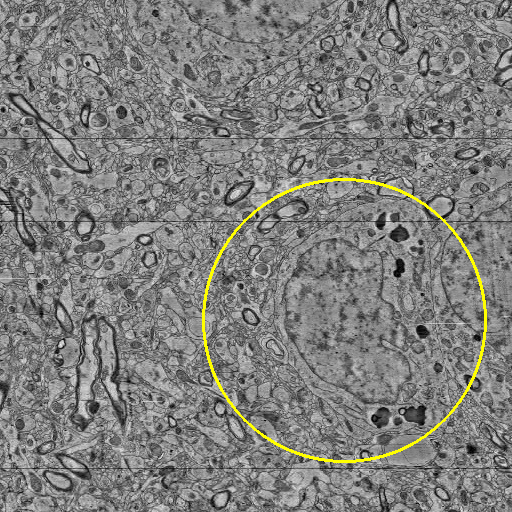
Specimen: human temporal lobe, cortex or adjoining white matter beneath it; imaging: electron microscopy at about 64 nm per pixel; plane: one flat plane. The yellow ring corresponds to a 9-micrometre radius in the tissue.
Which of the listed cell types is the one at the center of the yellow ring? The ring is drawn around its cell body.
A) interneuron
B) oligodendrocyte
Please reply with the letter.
A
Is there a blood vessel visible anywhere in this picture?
No, there is no blood vessel.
